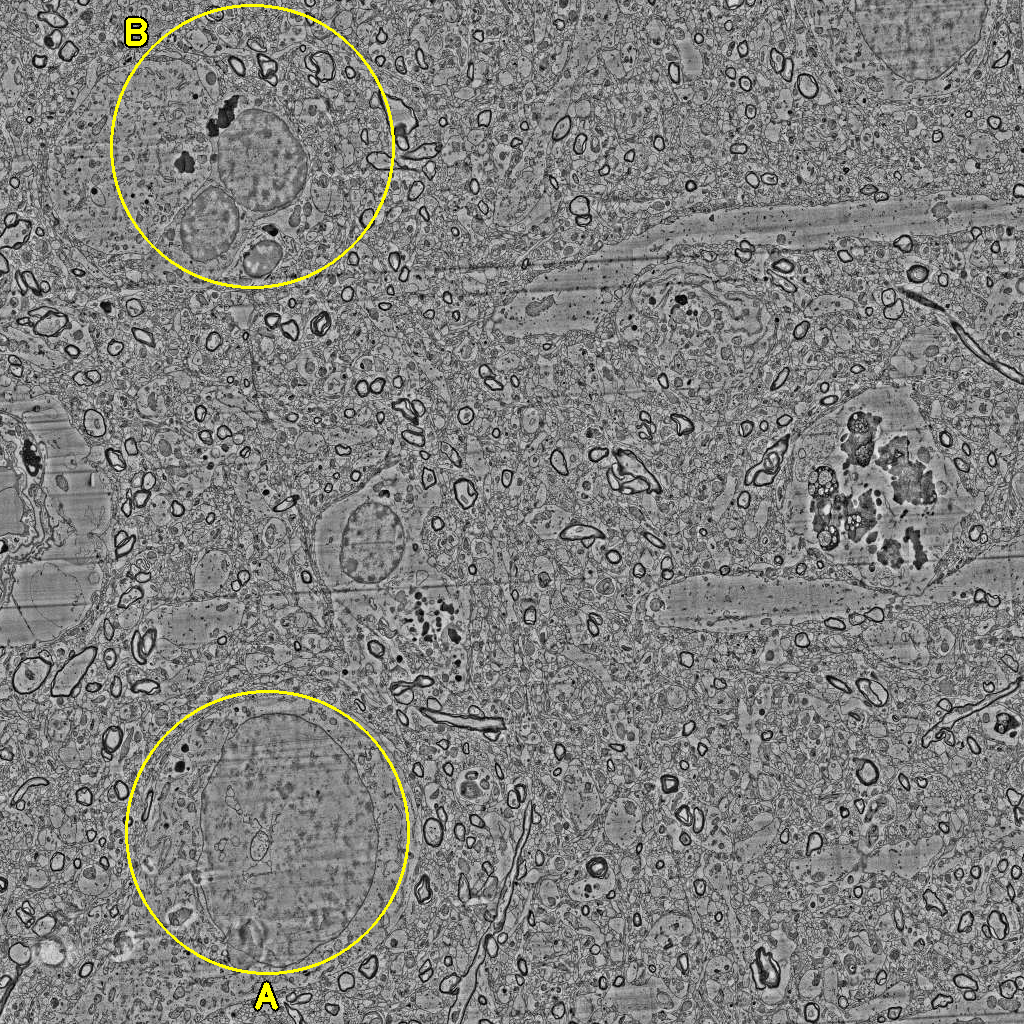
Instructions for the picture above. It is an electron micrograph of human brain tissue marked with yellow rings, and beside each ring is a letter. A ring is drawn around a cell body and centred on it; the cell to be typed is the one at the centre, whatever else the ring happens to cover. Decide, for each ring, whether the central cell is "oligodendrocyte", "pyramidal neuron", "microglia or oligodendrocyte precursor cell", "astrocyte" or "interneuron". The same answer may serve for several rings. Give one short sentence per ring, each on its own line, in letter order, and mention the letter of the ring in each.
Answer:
Ring A is drawn around a pyramidal neuron.
Ring B is drawn around an oligodendrocyte.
